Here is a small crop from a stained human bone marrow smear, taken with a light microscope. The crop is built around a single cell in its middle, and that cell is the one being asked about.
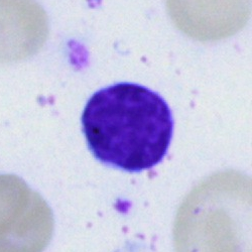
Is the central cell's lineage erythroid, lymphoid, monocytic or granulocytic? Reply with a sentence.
The cell of interest in the center belongs to the lymphoid lineage.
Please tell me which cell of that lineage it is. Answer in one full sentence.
The centered cell in this crop is a lymphocyte.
